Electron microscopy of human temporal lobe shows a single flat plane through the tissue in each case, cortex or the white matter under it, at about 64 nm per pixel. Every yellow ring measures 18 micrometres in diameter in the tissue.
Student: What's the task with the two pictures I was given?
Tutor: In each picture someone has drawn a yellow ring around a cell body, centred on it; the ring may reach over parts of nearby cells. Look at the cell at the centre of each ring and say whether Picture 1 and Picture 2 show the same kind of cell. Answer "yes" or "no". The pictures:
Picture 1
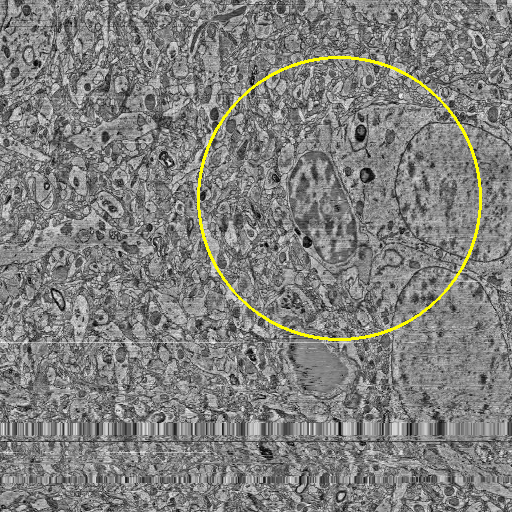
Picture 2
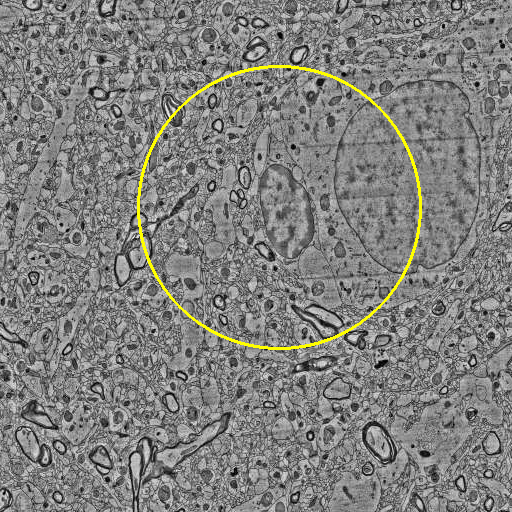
yes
